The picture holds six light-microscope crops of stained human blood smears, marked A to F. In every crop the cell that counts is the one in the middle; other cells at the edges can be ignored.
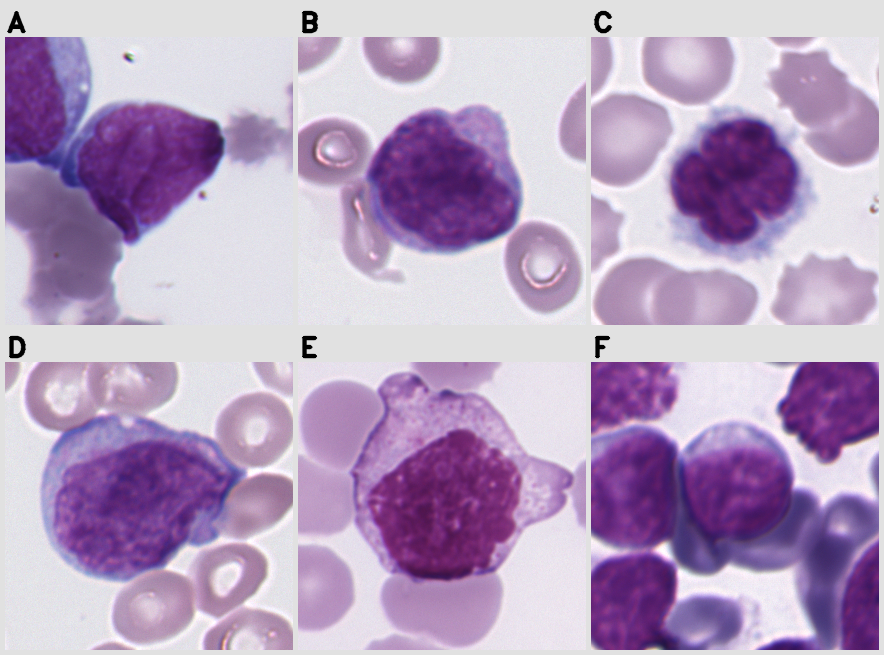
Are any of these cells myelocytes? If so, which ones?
E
